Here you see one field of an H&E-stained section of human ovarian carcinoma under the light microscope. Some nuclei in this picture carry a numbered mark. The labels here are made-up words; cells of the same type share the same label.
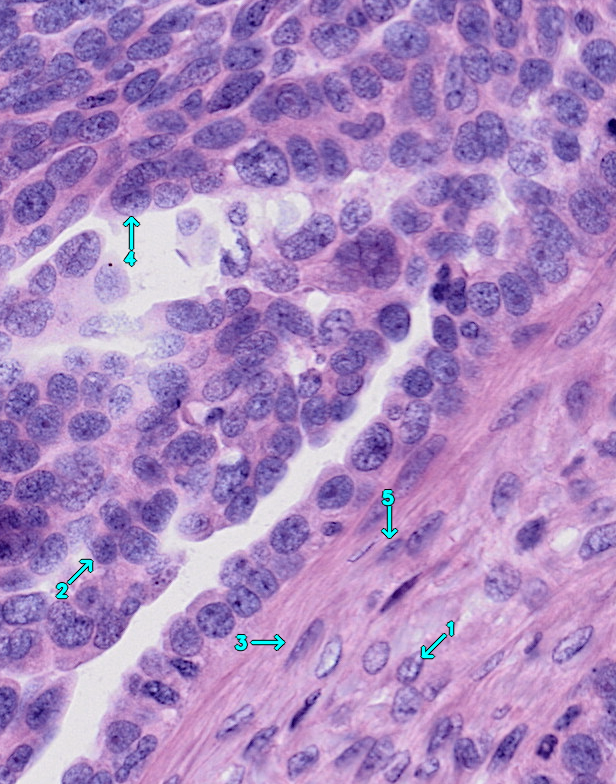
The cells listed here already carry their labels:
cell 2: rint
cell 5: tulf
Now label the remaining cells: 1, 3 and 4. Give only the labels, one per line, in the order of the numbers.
tulf
tulf
rint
